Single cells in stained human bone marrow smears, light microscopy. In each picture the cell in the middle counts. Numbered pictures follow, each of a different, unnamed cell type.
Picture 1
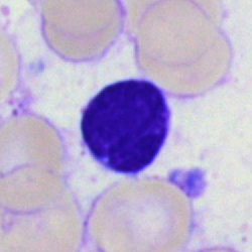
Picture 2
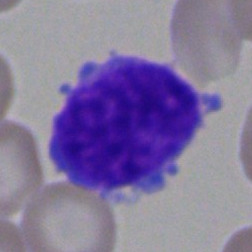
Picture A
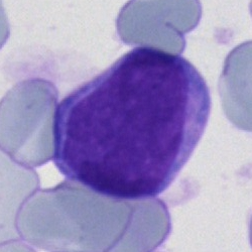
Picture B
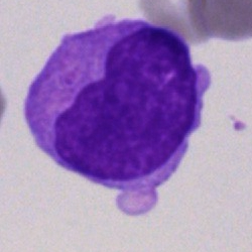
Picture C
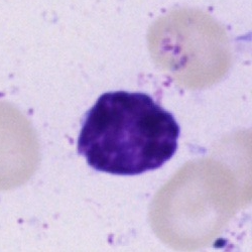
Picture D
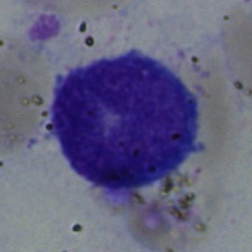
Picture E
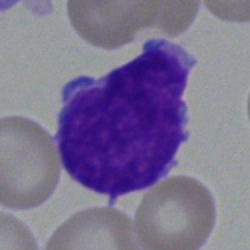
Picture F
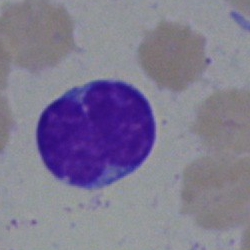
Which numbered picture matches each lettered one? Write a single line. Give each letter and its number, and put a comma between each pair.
A 2, B 2, C 1, D 2, E 2, F 1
